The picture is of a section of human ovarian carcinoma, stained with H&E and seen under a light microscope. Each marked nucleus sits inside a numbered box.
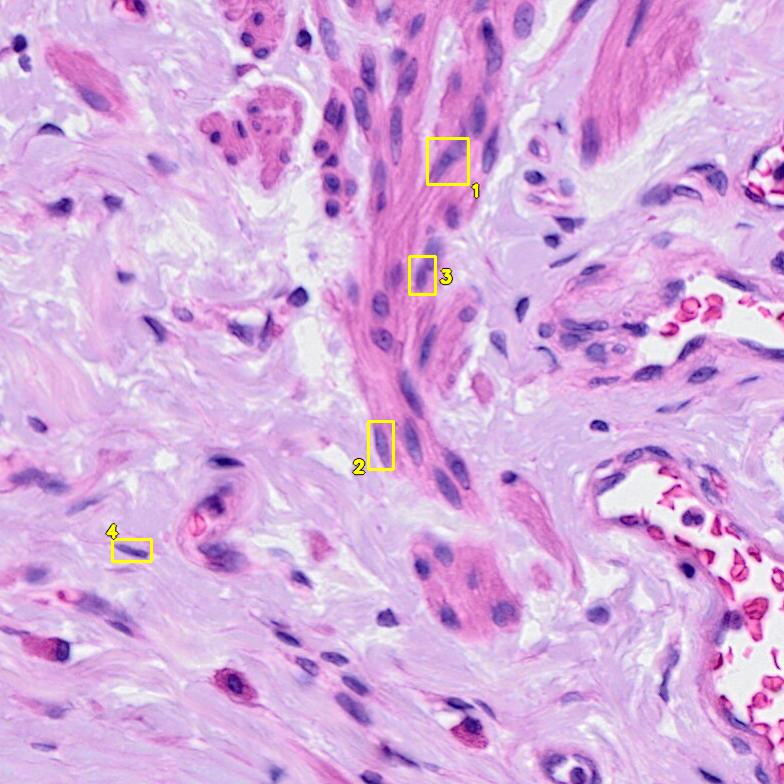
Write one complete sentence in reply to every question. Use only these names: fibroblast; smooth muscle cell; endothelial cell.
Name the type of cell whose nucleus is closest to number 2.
Closest to number 2 lies the nucleus of a smooth muscle cell.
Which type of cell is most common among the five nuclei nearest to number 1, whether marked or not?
Of the five nuclei nearest to number 1, most belong to smooth muscle cells.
